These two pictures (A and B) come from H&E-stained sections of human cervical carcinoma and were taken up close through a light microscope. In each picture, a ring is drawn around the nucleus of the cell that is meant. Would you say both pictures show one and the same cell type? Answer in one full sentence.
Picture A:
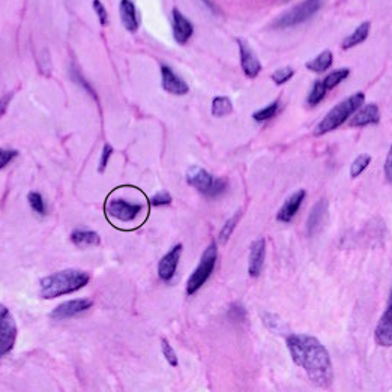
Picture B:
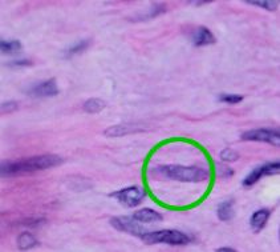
No; the cell in picture A is a fibroblast, while the one in picture B is a smooth muscle cell.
